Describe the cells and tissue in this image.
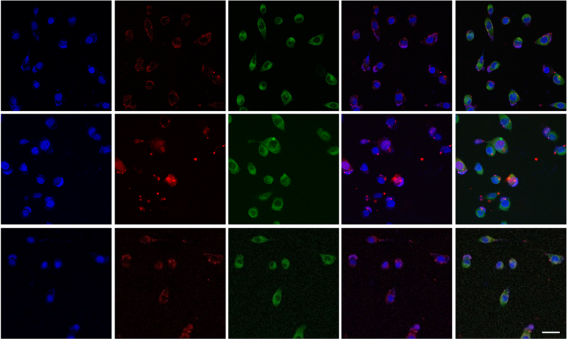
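Scattered, separate cultured cells of irregular shape, each with one rounded blue nucleus. The cells are small and rounded to slightly elongated, and some have short projections. Red signal appears as dots and small clumps, lying in the cytoplasm and overlapping the nuclear region. The red signal is denser in some cells than in others. In the overlay, red and blue overlap to purple over the nuclei. There is no tissue organization; the cells lie singly with wide spaces between them.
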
